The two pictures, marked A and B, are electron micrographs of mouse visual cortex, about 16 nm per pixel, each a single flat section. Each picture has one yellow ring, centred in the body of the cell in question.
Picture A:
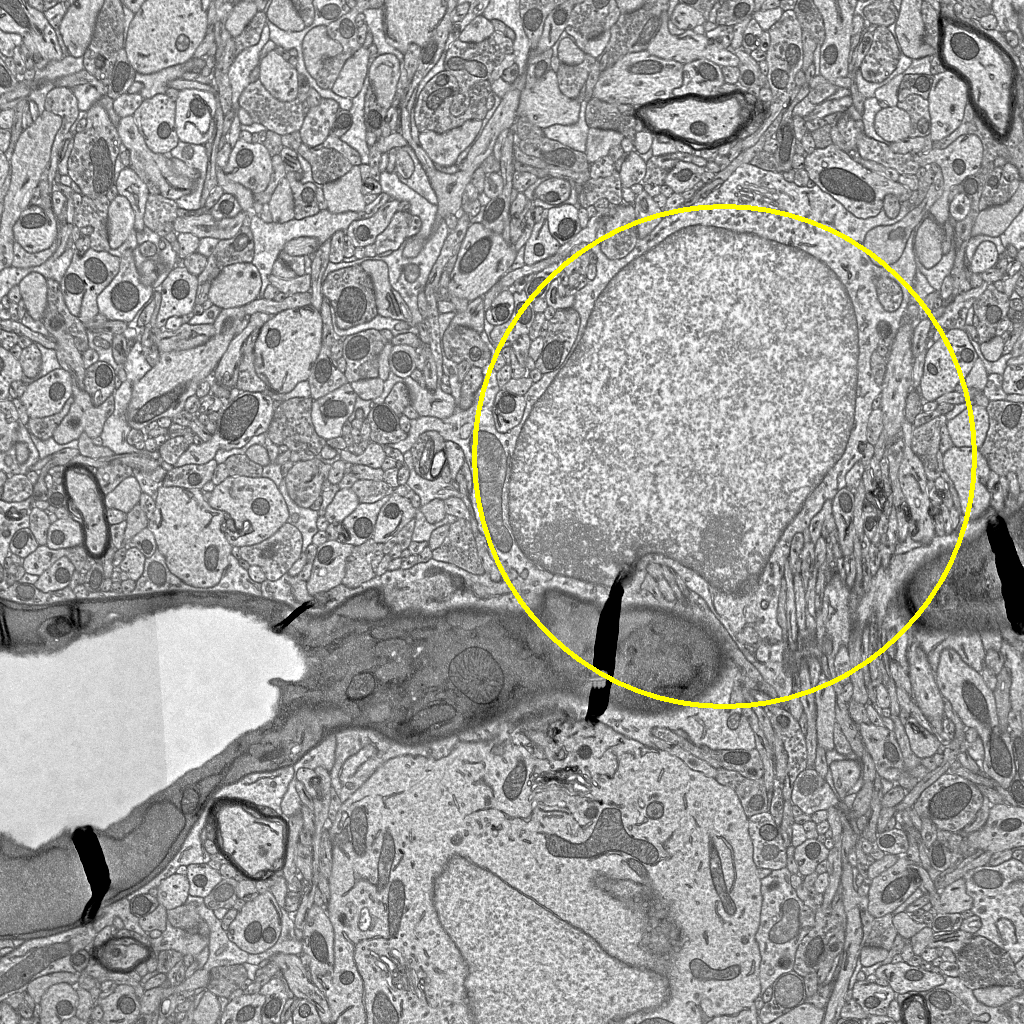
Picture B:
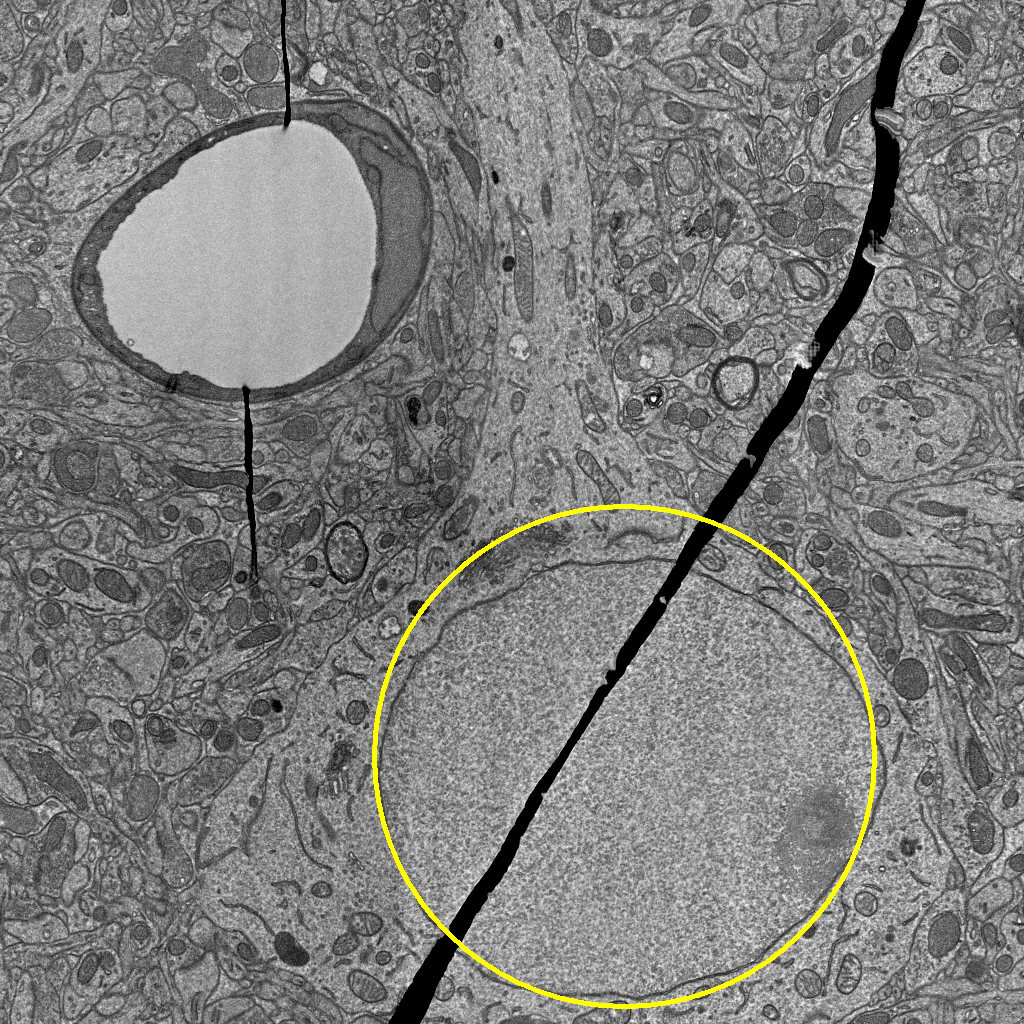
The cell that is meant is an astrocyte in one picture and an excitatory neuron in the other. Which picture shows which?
Picture B shows an excitatory neuron, while picture A shows an astrocyte.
